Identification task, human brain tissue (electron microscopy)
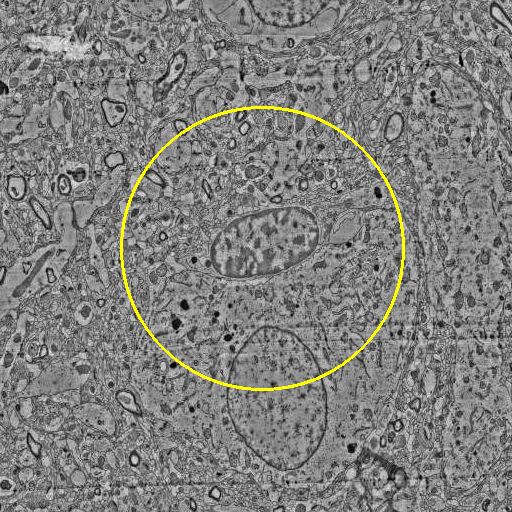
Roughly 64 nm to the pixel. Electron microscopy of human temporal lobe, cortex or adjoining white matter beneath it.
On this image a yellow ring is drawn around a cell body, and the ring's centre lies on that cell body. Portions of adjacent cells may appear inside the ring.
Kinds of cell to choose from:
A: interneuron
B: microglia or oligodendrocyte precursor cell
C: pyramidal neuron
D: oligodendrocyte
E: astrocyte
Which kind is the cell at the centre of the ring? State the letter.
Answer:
B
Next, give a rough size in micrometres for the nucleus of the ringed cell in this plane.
In this plane the nucleus is clearly longer than it is wide, at approximately 7 by 4 micrometres.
